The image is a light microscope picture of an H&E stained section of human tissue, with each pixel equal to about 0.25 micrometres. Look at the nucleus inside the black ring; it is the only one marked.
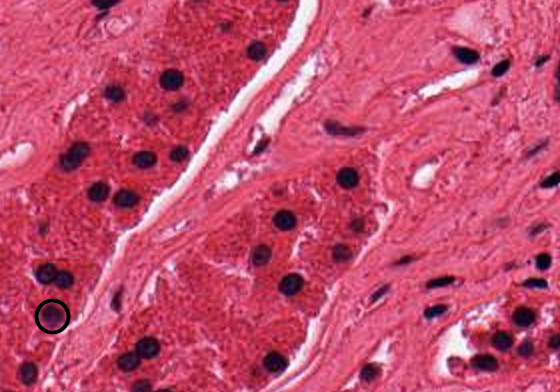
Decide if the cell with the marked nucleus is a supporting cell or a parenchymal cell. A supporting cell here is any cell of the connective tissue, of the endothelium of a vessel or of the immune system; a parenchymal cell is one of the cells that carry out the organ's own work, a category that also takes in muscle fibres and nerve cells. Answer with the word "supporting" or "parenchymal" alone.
parenchymal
